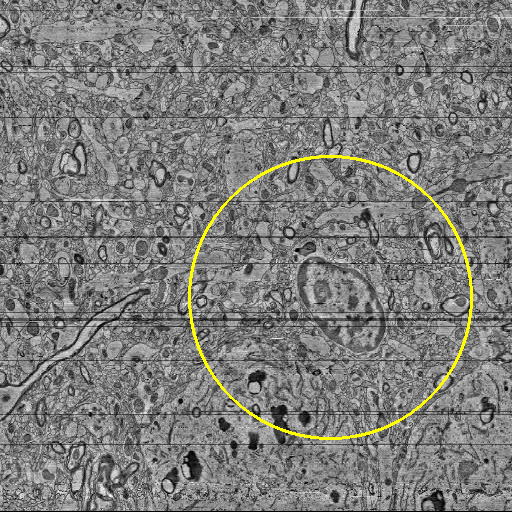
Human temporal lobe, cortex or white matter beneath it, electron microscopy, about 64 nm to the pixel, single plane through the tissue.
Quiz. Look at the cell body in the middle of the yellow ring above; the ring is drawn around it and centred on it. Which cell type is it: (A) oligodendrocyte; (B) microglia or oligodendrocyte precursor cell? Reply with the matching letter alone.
B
